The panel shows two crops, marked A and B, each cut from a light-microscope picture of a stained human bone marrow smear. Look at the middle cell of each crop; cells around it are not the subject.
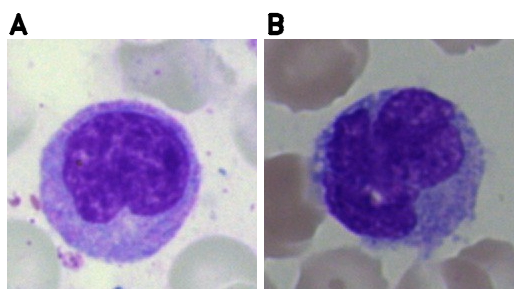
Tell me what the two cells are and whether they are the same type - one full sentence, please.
Yes, the central cells, in both crops, are monocytes.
